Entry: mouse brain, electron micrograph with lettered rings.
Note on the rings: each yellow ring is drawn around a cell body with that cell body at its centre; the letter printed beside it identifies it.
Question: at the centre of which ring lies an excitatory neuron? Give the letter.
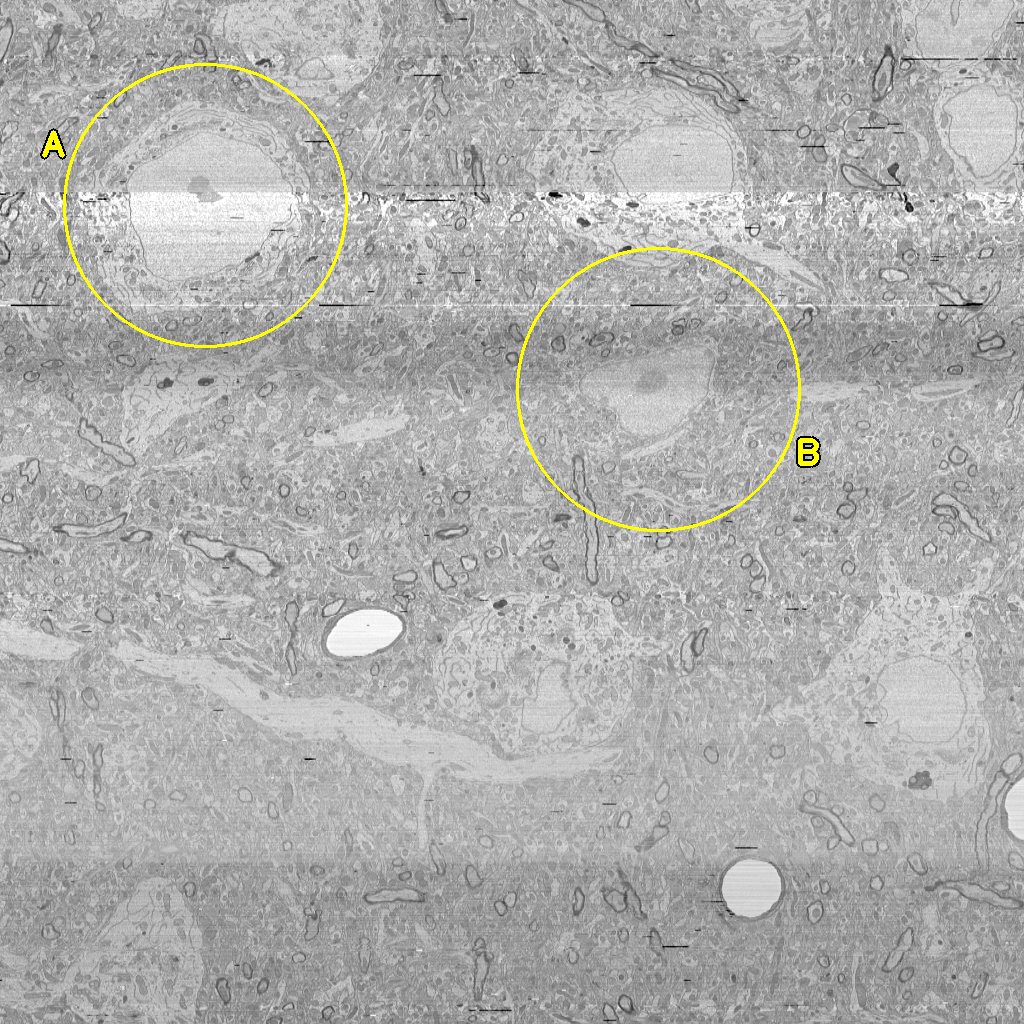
A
